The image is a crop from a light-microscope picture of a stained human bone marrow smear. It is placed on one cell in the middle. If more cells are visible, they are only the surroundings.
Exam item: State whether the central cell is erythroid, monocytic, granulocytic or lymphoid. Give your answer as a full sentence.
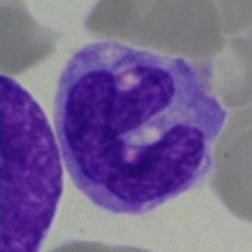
The middle cell is placed in the monocytic lineage.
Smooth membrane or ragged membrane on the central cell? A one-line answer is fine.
The perimeter of the cell is irregular, with ragged sections or outward projections.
